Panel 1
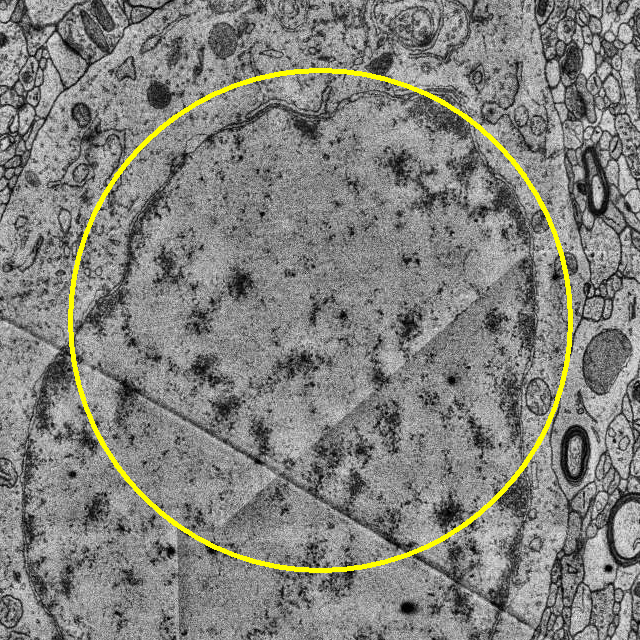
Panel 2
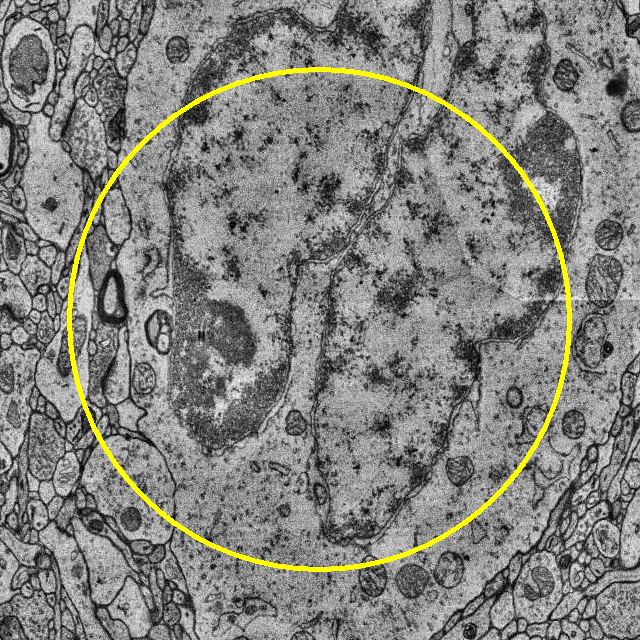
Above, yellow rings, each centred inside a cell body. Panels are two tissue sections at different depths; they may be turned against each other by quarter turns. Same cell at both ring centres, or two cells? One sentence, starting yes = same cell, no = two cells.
Yes, the two yellow circles hold the same cell.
